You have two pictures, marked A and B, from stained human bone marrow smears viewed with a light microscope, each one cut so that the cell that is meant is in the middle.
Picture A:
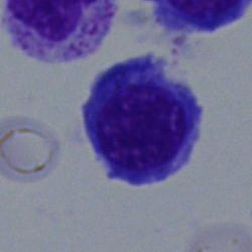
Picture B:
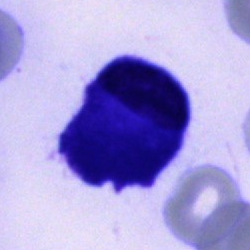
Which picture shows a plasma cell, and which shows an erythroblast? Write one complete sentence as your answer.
It is picture A that shows an erythroblast, and picture B that shows a plasma cell.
